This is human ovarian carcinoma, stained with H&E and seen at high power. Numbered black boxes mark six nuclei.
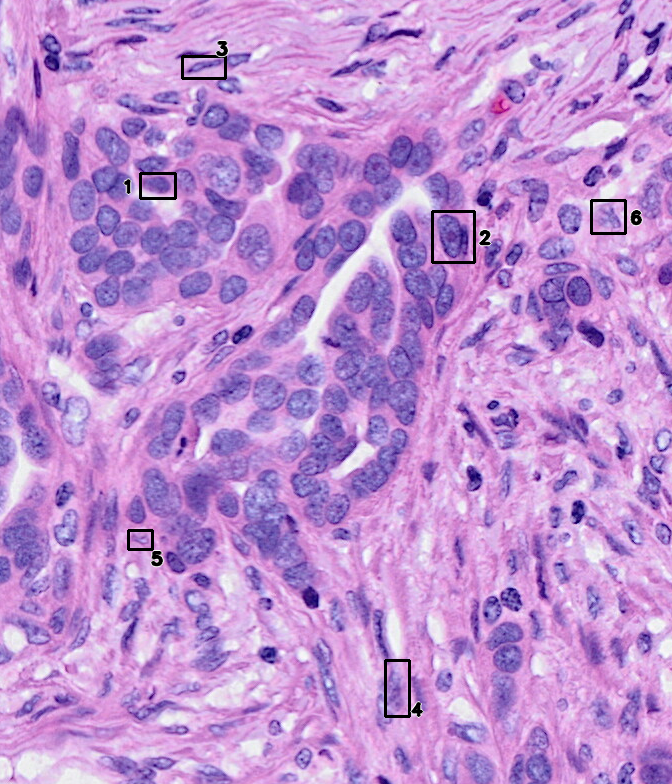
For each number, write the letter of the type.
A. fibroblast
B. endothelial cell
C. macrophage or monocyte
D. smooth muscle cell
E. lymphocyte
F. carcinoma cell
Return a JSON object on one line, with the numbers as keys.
{"1": "F", "2": "F", "3": "A", "4": "A", "5": "A", "6": "A"}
